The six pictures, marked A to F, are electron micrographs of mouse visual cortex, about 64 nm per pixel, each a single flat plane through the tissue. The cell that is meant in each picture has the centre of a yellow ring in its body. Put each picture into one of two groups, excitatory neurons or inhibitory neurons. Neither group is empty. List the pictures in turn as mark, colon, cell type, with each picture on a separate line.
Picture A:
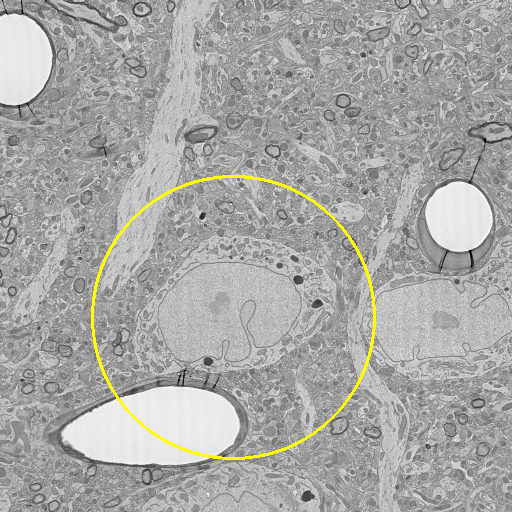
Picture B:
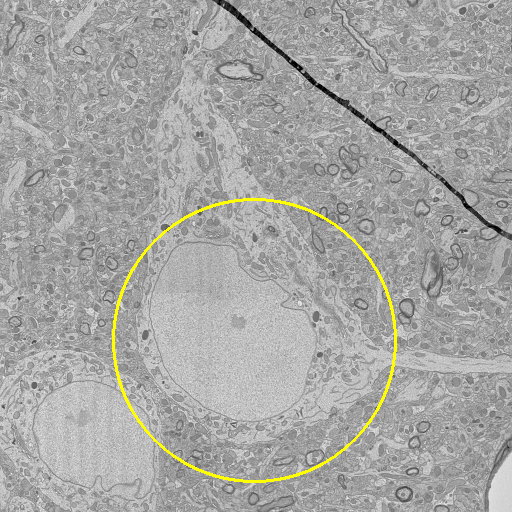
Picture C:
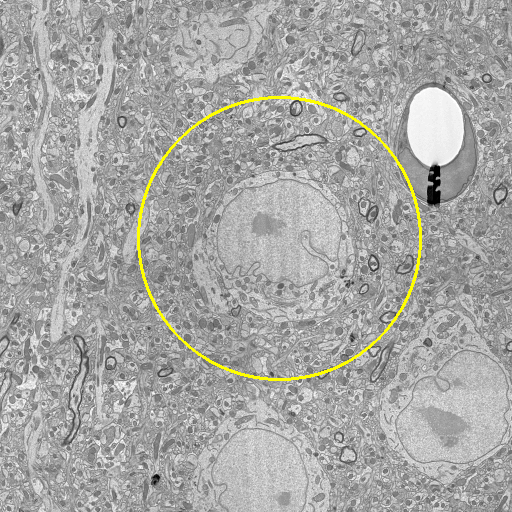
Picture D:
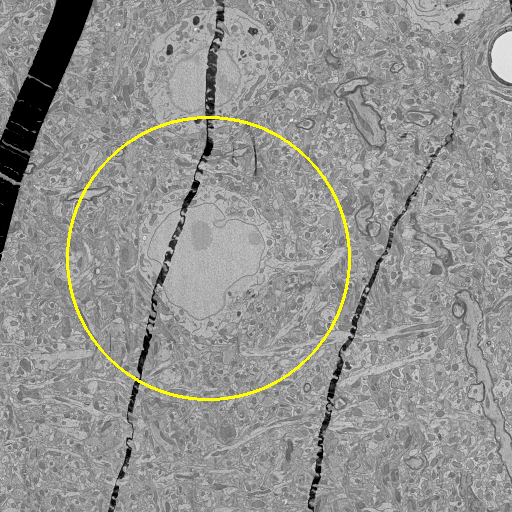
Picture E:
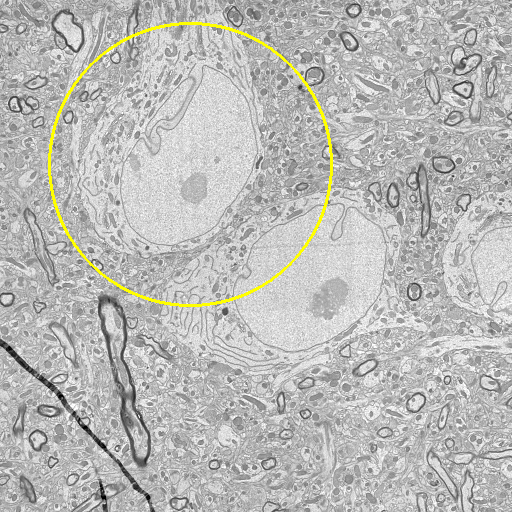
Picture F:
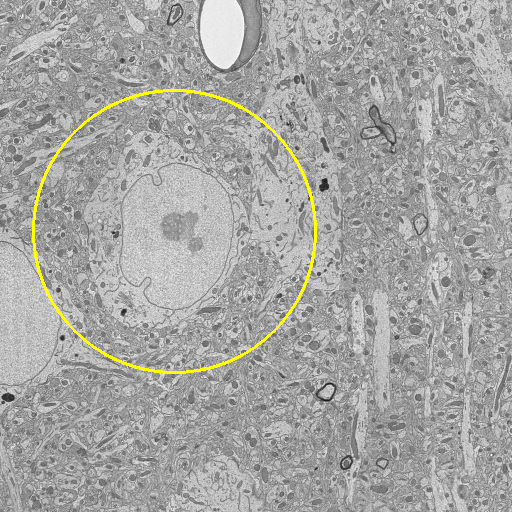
A: inhibitory neuron
B: excitatory neuron
C: inhibitory neuron
D: excitatory neuron
E: excitatory neuron
F: excitatory neuron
